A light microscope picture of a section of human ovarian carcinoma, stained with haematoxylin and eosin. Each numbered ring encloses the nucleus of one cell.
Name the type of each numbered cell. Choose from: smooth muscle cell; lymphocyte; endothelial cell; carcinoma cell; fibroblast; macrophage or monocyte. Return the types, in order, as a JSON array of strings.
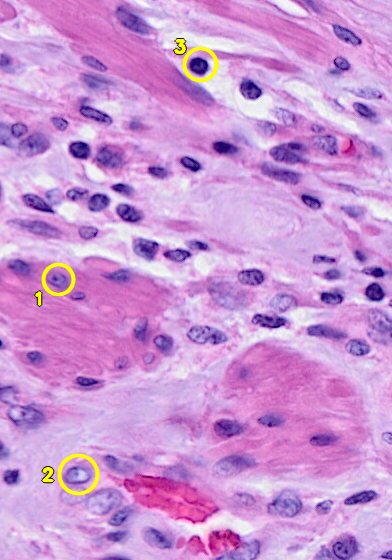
["smooth muscle cell", "endothelial cell", "lymphocyte"]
